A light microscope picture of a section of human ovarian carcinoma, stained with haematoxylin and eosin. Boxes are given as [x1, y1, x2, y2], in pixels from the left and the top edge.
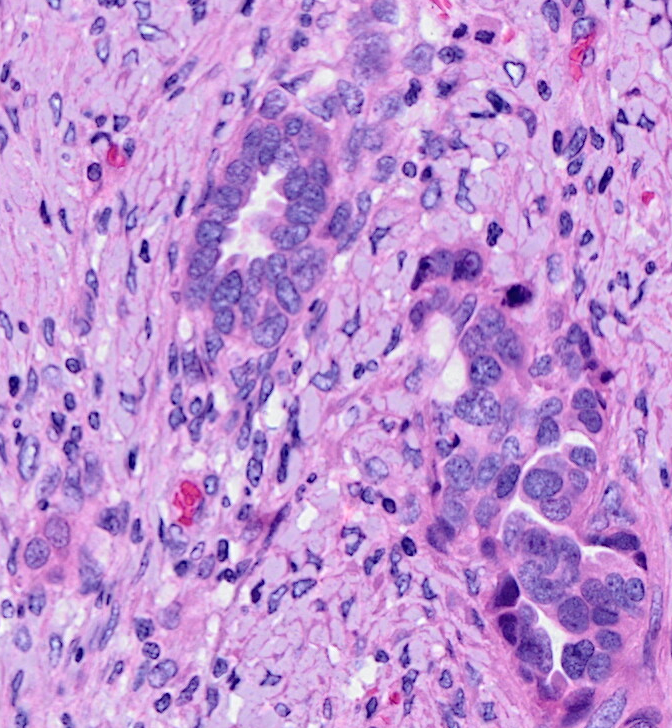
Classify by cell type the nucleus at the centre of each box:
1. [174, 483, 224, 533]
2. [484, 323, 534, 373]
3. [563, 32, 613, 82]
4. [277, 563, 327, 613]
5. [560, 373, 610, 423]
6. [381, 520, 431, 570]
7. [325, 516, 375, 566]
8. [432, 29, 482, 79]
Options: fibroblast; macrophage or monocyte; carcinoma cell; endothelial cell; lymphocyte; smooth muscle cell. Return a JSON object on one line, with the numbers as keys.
{"1": "endothelial cell", "2": "carcinoma cell", "3": "endothelial cell", "4": "fibroblast", "5": "carcinoma cell", "6": "lymphocyte", "7": "fibroblast", "8": "lymphocyte"}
